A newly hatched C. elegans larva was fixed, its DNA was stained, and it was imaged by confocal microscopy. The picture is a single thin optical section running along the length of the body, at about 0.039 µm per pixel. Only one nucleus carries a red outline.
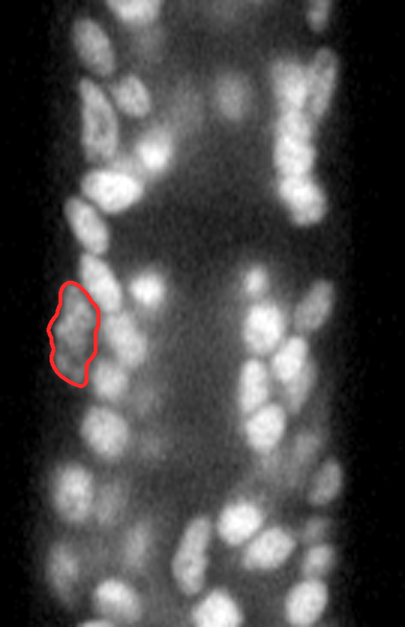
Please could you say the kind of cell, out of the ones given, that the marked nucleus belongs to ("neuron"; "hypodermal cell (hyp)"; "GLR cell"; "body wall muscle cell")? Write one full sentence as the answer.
This nucleus is from a hypodermal cell (hyp).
